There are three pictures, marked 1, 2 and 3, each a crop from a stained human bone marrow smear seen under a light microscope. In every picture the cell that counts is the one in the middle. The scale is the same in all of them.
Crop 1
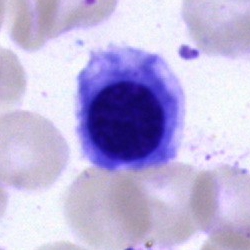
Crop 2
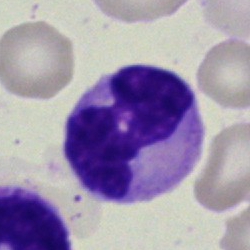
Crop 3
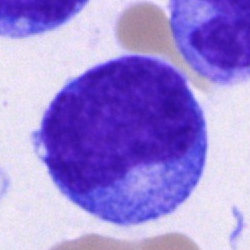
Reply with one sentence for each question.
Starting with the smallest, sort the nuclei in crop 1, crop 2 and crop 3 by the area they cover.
The order is 1, 2, 3, beginning with the smallest.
